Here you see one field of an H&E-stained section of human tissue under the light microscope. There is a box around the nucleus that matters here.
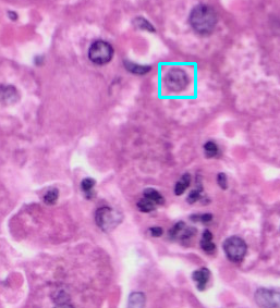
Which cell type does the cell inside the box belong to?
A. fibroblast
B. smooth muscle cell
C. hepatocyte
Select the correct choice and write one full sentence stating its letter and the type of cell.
Of all the options, C is right, since the cell inside the box is a hepatocyte.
